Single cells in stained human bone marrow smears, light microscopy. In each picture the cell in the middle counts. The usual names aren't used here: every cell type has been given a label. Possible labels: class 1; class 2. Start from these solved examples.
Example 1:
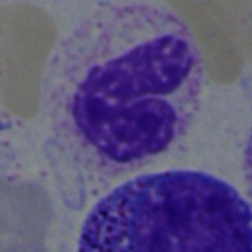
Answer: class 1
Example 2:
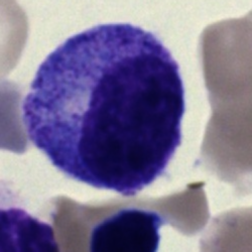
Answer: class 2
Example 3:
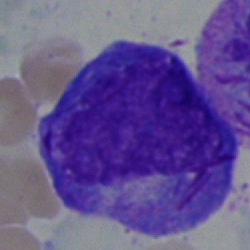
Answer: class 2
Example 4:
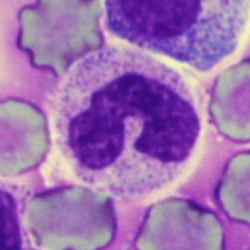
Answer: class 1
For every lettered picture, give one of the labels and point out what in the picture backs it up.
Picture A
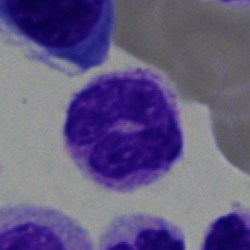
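class 1. Reason: The chromatin is dark purple and coarsely clumped.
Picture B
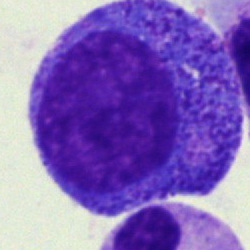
class 2. Reason: The chromatin is finely textured rather than coarsely clumped.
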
